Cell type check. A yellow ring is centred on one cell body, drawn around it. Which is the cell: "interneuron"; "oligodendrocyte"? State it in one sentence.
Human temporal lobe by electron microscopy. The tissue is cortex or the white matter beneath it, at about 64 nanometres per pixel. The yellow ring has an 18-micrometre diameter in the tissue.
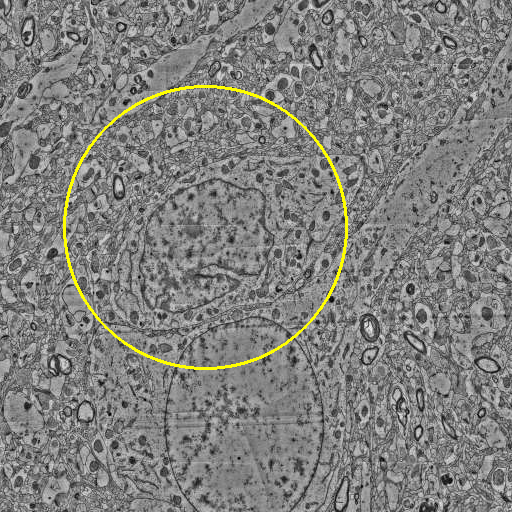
The cell body at the ring's centre belongs to an interneuron.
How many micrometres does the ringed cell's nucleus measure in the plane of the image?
In this plane the nucleus is about 10 micrometres by 7.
